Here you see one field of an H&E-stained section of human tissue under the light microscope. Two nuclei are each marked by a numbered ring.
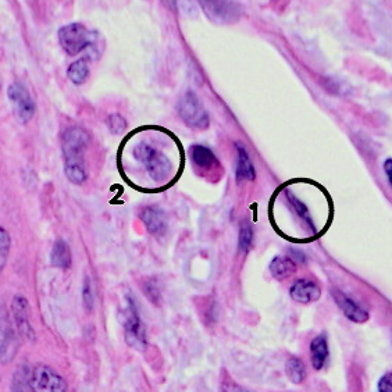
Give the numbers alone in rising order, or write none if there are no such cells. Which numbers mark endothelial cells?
1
